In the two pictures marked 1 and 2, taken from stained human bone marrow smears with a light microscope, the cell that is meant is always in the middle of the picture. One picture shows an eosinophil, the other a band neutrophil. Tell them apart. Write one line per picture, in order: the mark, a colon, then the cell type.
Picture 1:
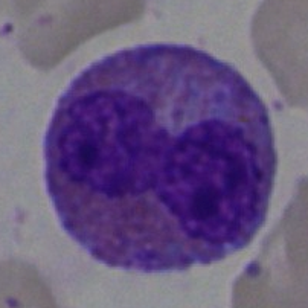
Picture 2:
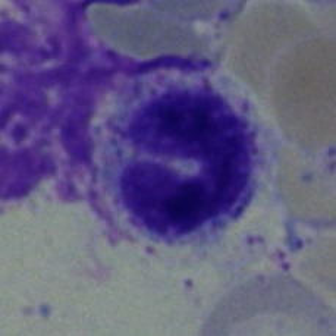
1: eosinophil
2: band neutrophil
